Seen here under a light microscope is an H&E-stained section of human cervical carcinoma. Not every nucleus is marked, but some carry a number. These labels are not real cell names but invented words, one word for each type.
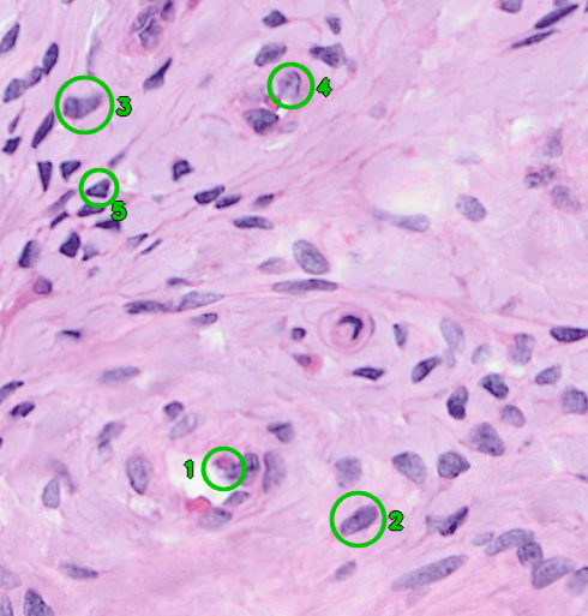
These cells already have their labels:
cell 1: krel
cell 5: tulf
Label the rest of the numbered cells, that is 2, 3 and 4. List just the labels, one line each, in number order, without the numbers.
tulf
tulf
krel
